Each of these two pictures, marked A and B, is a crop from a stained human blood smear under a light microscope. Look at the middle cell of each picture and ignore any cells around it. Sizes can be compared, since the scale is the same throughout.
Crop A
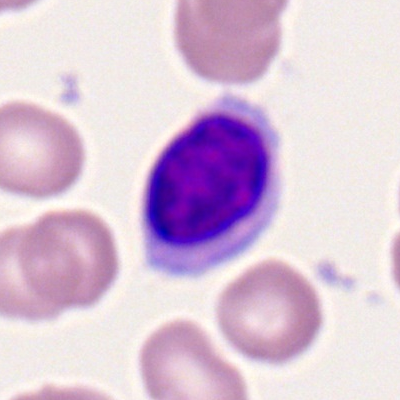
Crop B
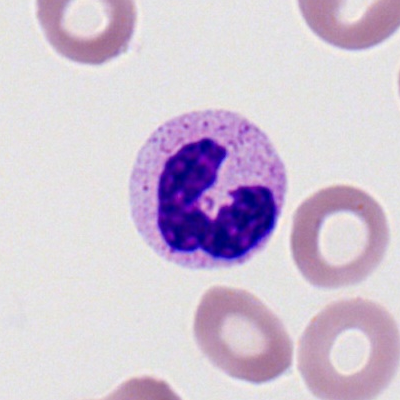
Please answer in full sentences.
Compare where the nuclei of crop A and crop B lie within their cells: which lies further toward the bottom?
Seen within its cell, the nucleus in crop B lies further toward the bottom.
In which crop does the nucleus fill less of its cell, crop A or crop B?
In crop B the nucleus takes up the smaller part of its cell.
